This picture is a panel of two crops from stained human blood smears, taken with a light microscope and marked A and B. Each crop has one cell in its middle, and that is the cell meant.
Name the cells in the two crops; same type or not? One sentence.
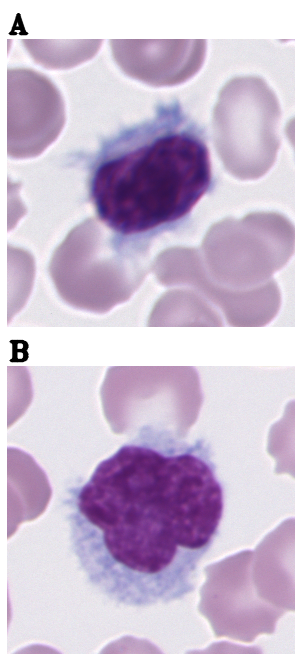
Yes, in the middle of both crops lie hairy cells.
